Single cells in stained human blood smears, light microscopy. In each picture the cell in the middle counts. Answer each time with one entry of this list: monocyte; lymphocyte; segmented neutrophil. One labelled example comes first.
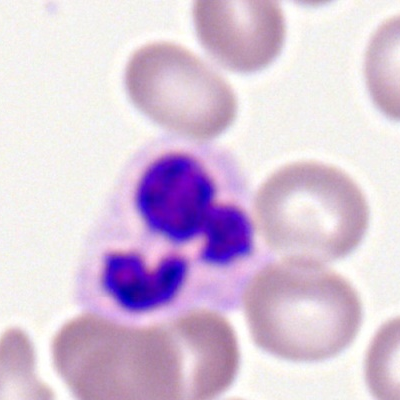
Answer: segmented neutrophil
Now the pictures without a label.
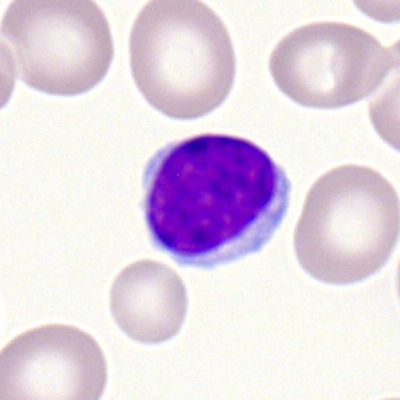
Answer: lymphocyte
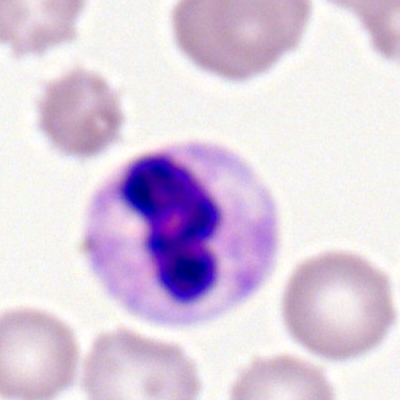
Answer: segmented neutrophil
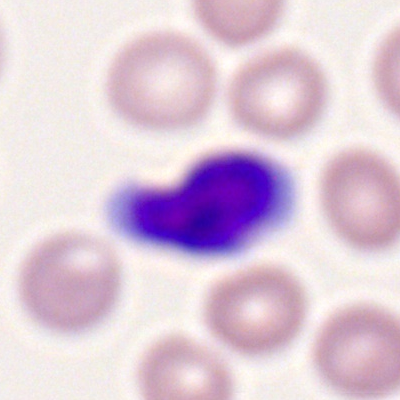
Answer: lymphocyte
